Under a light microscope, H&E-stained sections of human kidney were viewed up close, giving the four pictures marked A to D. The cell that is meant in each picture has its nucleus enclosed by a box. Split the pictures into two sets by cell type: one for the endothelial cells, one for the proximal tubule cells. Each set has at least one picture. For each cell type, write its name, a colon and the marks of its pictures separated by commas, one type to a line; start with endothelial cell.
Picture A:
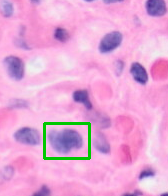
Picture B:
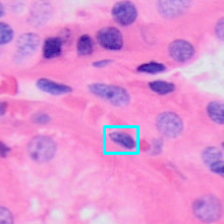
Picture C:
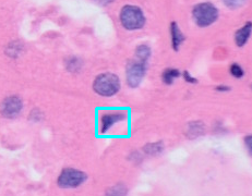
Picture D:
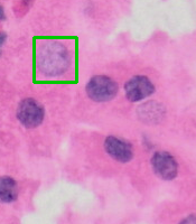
endothelial cell: A, B, C
proximal tubule cell: D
